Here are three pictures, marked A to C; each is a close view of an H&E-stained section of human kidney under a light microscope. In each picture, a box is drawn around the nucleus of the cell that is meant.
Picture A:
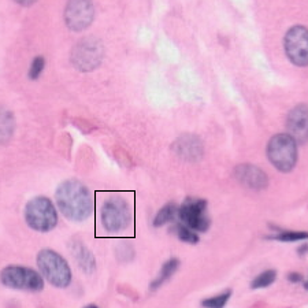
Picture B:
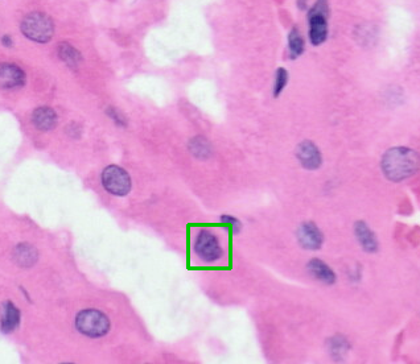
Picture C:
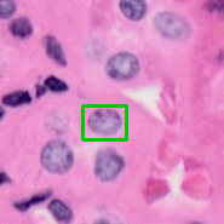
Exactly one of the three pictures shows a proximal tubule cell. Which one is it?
B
